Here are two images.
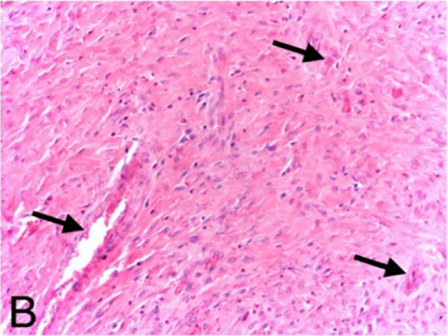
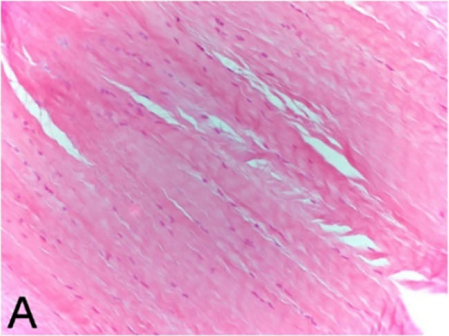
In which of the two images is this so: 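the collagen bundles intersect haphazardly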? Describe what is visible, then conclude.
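The first image. First image: collagen runs in many directions with many plump nuclei between. Second image: collagen bundles run in parallel with few flattened nuclei.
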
